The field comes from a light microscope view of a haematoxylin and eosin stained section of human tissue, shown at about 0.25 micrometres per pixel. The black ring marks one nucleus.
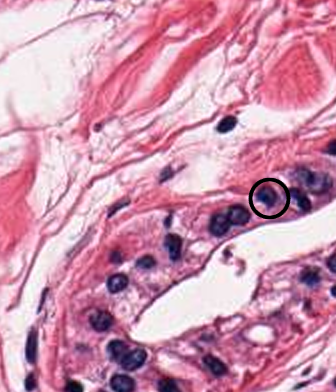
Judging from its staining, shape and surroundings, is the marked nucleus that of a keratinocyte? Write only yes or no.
no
